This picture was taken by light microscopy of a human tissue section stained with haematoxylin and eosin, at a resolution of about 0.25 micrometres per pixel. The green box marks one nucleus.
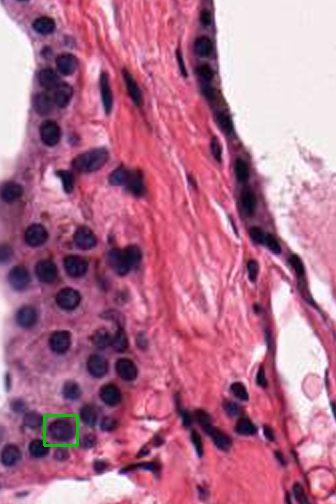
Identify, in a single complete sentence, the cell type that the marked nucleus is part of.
It is a thyroid follicular cell that the marked nucleus belongs to.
